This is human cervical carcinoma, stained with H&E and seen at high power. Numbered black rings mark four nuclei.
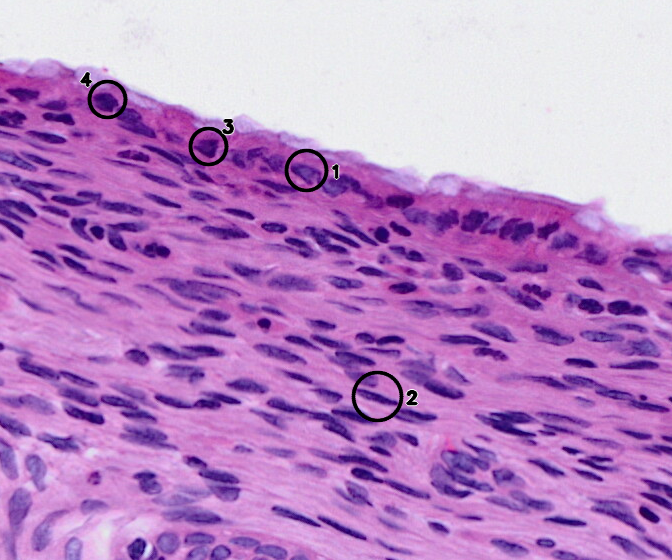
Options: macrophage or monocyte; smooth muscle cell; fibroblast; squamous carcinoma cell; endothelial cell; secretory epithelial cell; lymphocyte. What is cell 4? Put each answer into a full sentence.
Belonging to a secretory epithelial cell is the nucleus that carries the number 4.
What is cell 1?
In this section, the cell numbered 1 is a secretory epithelial cell.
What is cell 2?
The numeral 2 marks a fibroblast in this section.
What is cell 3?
The cell numbered 3 has been identified as a secretory epithelial cell.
